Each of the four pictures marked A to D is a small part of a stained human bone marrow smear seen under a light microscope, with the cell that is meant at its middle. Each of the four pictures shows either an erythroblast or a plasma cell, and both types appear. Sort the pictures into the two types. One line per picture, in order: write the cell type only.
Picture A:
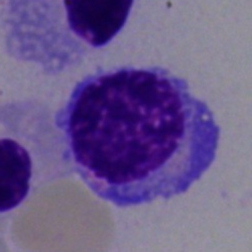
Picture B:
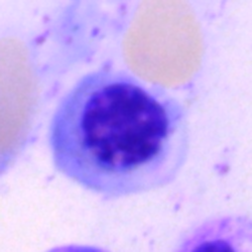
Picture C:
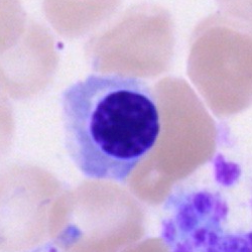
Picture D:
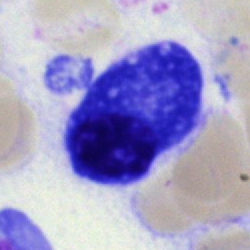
plasma cell
erythroblast
erythroblast
plasma cell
